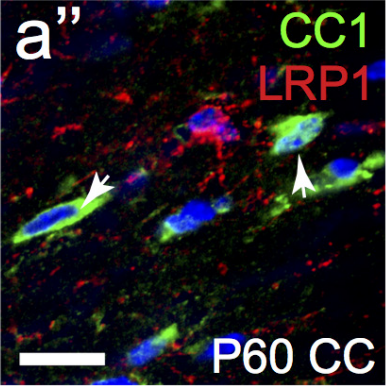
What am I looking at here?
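The blue nuclei are oval and elongated, lying in a loose row that follows the direction of the fibre bundles running diagonally across the field. Around several nuclei a green cytoplasm forms a thin, spindle-shaped rim, drawn out along the same axis. Red dots and short streaks are scattered through the tissue and gather around one cell body near the top centre, but the green cell bodies themselves are free of red. The background between cells is dark with faint fine green specks.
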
